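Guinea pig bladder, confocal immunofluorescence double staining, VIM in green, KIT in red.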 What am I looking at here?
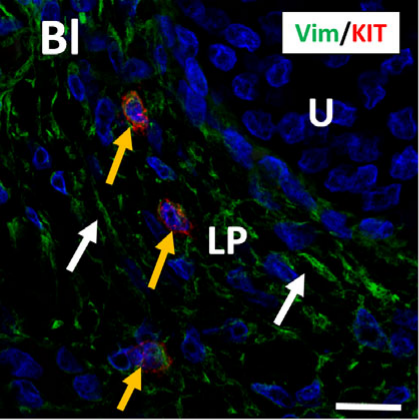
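The elongated cells have thin, wavy green processes that run in loose parallel strands through the tissue. The mast cells are compact, rounded to oval cells with a rim of red fluorescence around a blue nucleus, some with faint green as well. To one side, densely packed blue nuclei mark the lining layer, which shows little green or red.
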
